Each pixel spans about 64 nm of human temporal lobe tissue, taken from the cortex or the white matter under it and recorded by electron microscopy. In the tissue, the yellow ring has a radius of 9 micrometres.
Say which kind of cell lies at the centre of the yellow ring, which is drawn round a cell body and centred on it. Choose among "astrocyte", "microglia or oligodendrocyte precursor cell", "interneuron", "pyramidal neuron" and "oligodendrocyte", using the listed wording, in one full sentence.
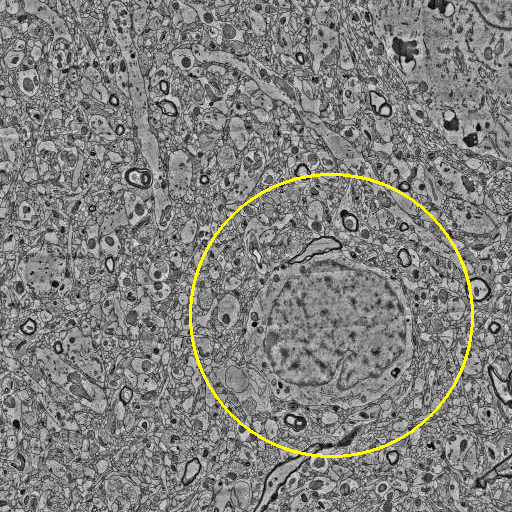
Going by the list, the cell at the yellow ring's centre is an interneuron.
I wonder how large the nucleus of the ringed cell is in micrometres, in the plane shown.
Approximately 9 micrometres across, in this plane.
